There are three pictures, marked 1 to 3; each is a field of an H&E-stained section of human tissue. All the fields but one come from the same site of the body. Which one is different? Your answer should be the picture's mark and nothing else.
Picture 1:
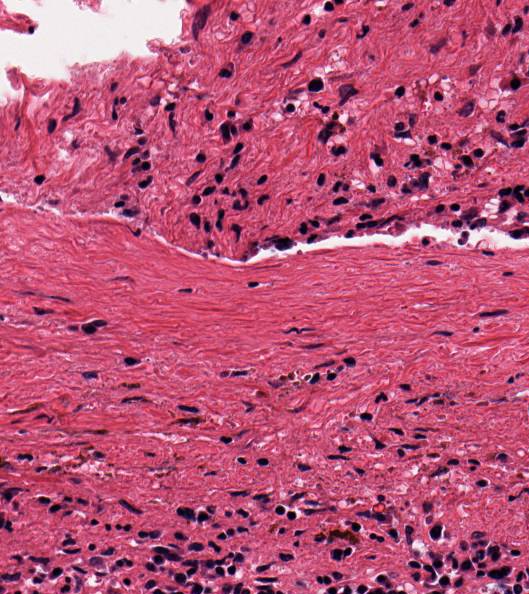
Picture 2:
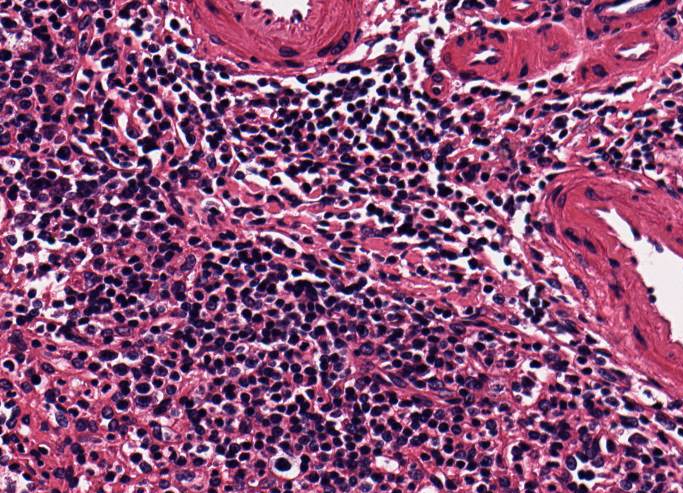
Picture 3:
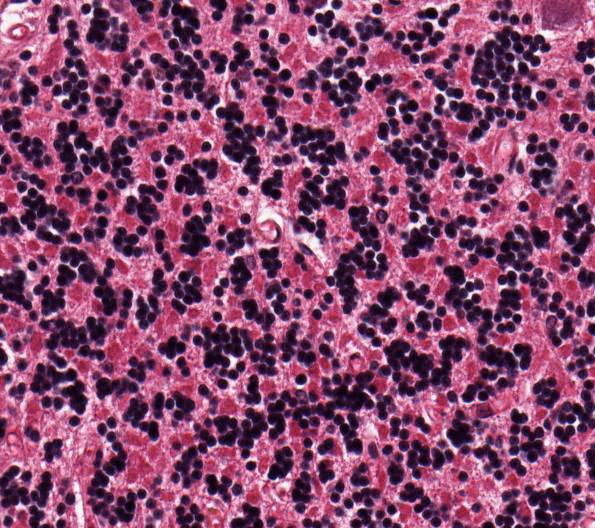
3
